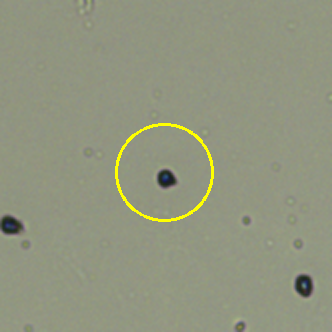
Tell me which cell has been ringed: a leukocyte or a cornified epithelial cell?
It is a leukocyte.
